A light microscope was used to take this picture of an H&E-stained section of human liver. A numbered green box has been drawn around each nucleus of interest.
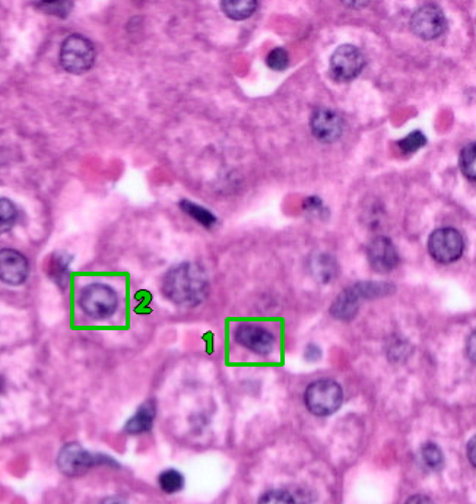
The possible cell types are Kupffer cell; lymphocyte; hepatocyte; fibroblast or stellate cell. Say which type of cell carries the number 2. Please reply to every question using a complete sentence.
The marked cell with the number 2 is recognised as a hepatocyte.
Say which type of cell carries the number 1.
Identified by the number 1, the cell is a fibroblast or stellate cell.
